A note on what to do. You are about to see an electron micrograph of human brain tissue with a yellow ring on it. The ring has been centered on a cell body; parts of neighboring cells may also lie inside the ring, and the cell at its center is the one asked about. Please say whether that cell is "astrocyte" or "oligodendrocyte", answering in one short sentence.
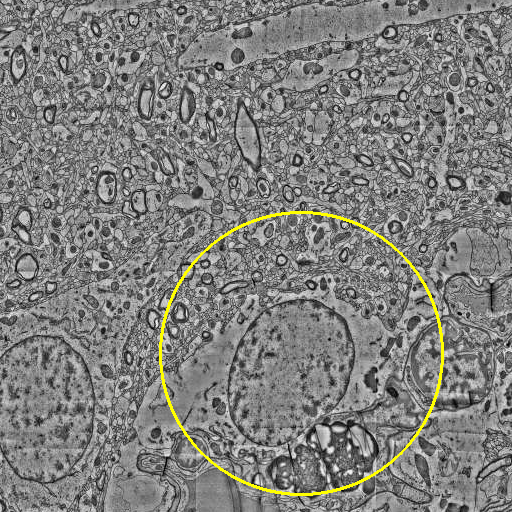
The yellow ring sits on an astrocyte.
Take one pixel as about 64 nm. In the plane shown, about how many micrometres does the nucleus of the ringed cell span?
The nucleus appears roughly 10 by 7 micrometres in this plane.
